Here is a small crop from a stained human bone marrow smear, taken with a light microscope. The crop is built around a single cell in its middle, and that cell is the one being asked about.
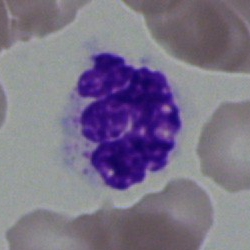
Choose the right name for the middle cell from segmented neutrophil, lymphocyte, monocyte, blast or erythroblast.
segmented neutrophil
